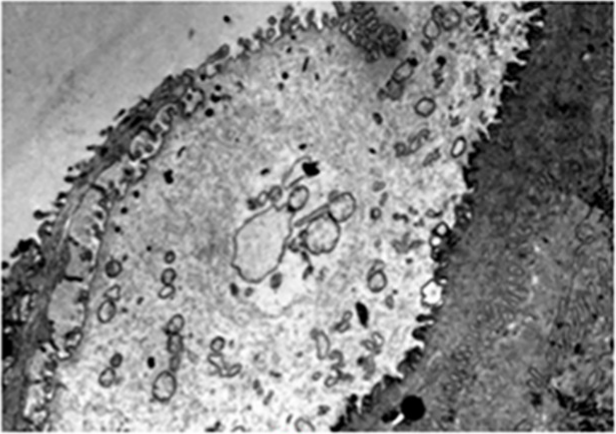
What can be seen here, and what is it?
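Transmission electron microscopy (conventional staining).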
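This electron micrograph shows a single swollen cell whose cytoplasm looks pale and watery, with few dense components. Many small round membrane-bound profiles lie scattered loosely through it rather than packed together. Its border carries numerous fine projections, and beside it on the right lies a neighbouring cell that is far darker and denser, which makes the paleness of the swollen cell stand out.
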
